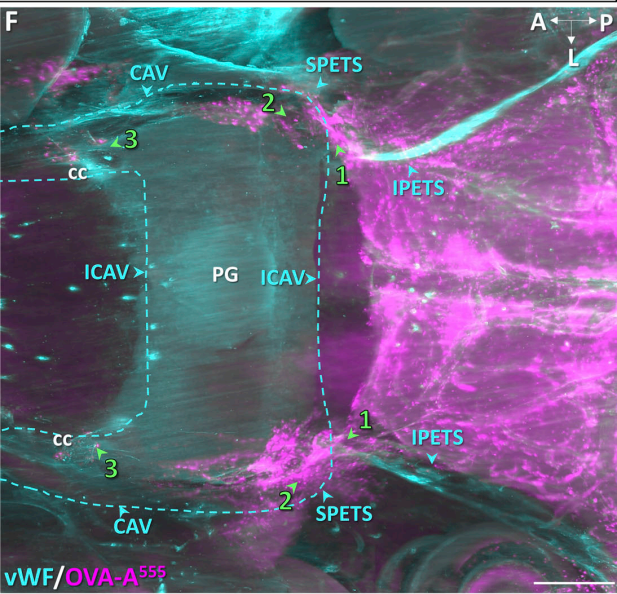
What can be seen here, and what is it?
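This horizontal view of the skull base shows a broad, pale central mass of tissue framed by a dashed outline, with faint blue tubular venous channels running along both of its sides and crossing it. At the rear corners of the outline, where the channels branch and turn outward, speckled magenta deposits gather densely in clusters. Further back, a wide area is filled with a diffuse magenta haze and fine magenta threads, while toward the front the magenta is sparse and only scattered dots lie near the channels. A bright blue vessel sweeps diagonally across the upper right corner.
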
